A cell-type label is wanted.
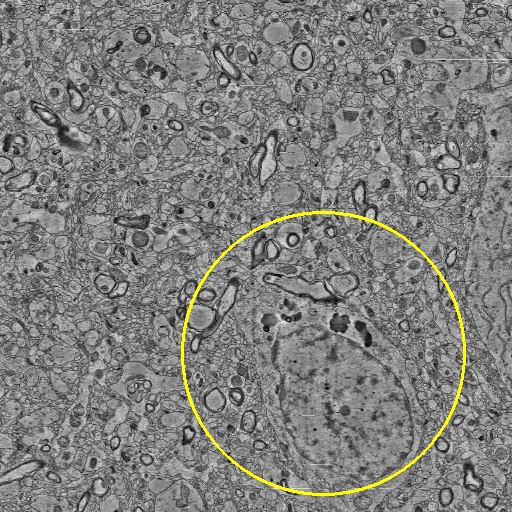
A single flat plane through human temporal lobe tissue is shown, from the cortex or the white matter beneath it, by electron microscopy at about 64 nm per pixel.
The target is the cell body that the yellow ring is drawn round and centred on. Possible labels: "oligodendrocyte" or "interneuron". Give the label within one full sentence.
Of the labels offered, the cell in the middle of the yellow ring is an interneuron.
